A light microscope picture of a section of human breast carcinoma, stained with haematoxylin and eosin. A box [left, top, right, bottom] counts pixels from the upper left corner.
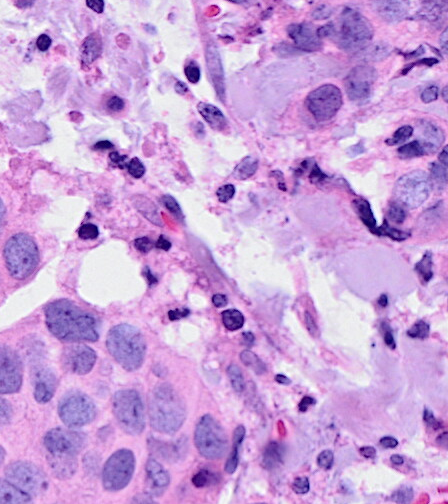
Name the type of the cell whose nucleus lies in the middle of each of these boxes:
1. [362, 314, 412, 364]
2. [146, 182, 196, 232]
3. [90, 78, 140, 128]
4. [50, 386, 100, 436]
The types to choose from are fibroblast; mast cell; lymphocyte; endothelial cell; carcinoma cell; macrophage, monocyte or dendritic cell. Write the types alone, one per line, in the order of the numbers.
lymphocyte
endothelial cell
mast cell
carcinoma cell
